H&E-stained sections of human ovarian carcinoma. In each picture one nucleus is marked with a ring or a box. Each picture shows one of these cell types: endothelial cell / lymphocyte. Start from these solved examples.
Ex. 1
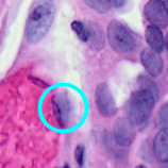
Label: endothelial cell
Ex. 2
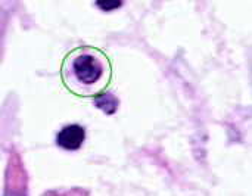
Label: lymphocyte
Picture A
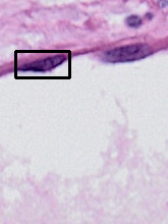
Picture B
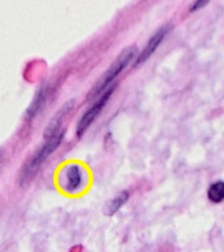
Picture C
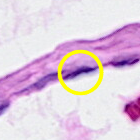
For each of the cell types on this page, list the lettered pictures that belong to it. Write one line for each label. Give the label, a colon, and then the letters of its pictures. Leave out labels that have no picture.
endothelial cell: A, C
lymphocyte: B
